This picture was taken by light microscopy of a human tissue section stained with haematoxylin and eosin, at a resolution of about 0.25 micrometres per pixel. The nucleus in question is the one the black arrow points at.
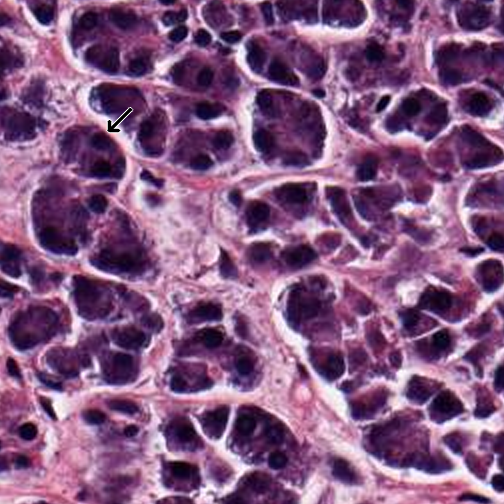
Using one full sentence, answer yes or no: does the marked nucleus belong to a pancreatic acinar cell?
Yes, a pancreatic acinar cell is the owner of the marked nucleus.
